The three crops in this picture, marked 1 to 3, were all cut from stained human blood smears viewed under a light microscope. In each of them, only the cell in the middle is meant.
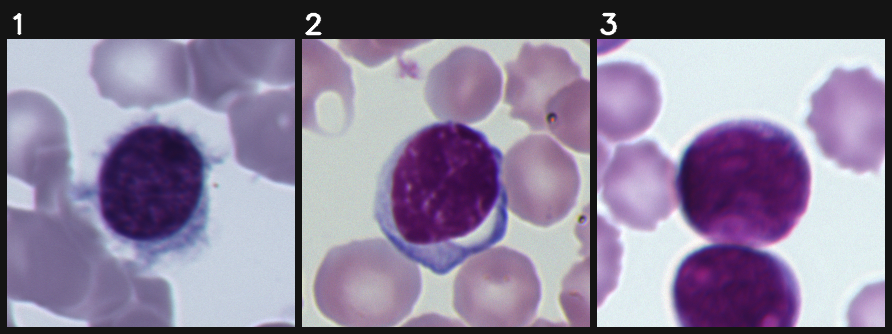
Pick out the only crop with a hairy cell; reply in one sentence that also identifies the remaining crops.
Sorting them out, crop 1 is a hairy cell, while crop 2 is a typical lymphocyte and crop 3 is a myeloblast.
